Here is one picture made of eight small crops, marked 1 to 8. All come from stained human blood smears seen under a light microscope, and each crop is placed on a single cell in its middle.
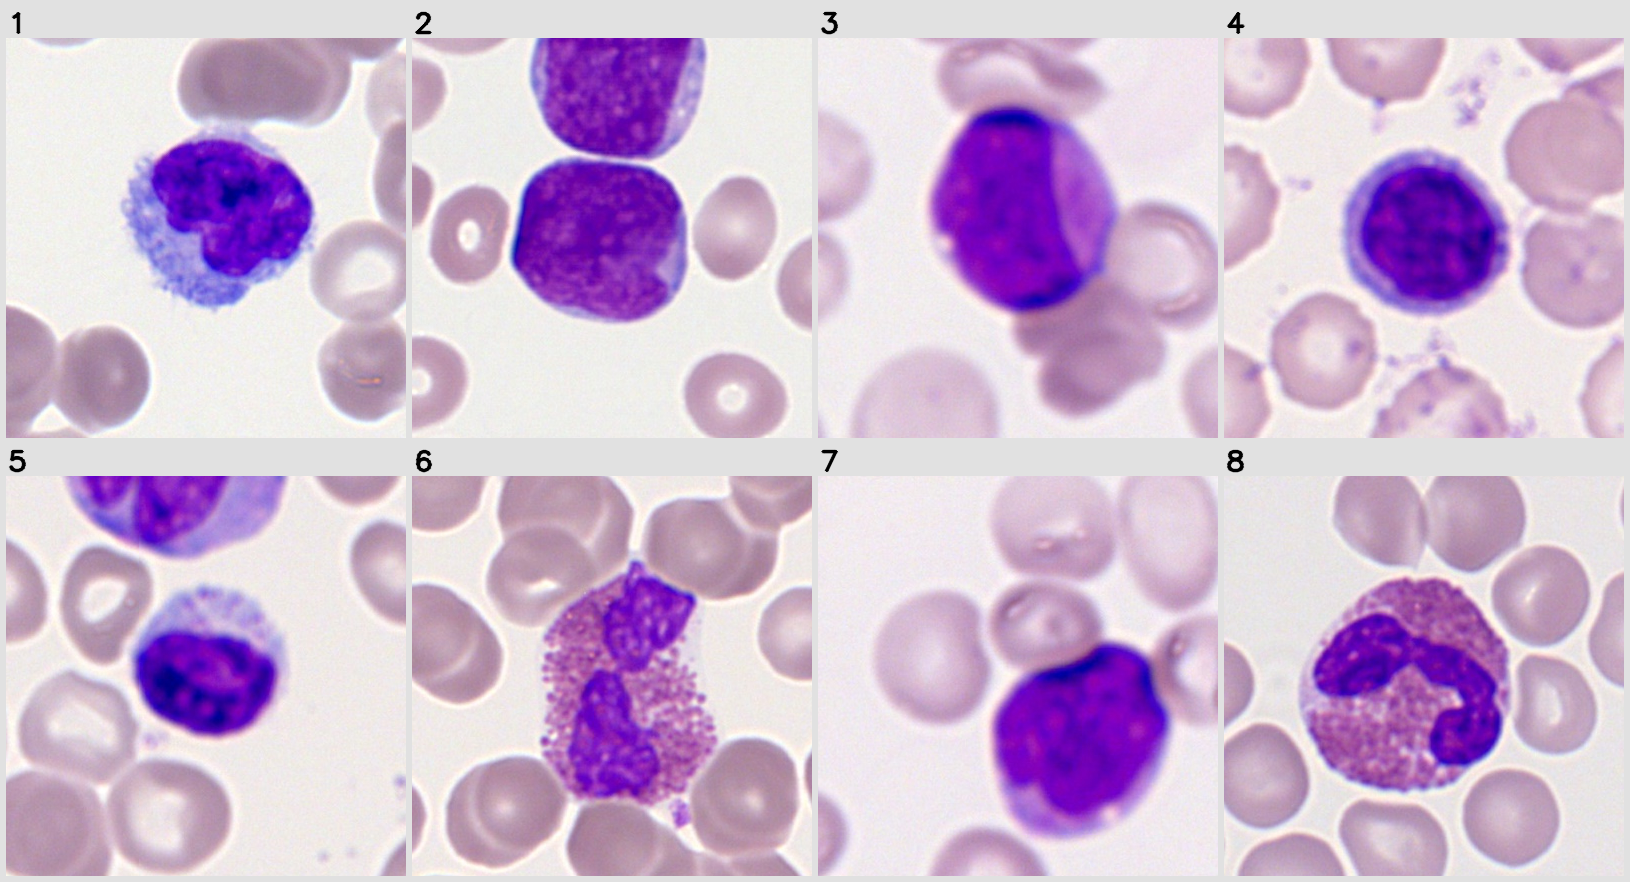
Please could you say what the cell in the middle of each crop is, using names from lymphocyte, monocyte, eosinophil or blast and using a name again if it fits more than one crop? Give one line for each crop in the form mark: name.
1: lymphocyte
2: blast
3: blast
4: lymphocyte
5: lymphocyte
6: eosinophil
7: blast
8: eosinophil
